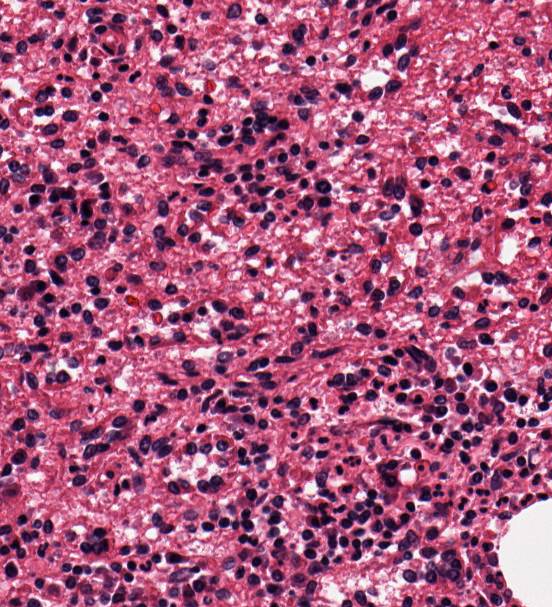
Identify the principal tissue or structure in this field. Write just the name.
red pulp of the spleen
